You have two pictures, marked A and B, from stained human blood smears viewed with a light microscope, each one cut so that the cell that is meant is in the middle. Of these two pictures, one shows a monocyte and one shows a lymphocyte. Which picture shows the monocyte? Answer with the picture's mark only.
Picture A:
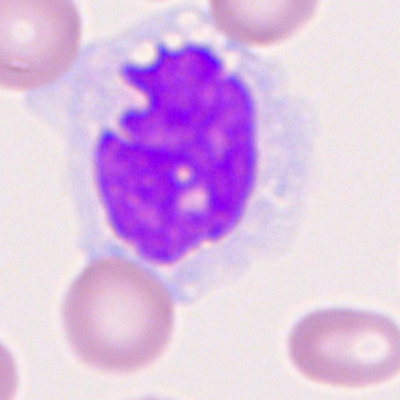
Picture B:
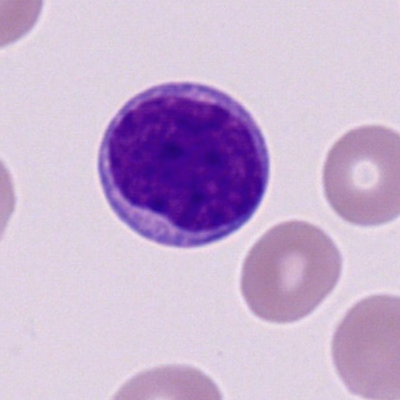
A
